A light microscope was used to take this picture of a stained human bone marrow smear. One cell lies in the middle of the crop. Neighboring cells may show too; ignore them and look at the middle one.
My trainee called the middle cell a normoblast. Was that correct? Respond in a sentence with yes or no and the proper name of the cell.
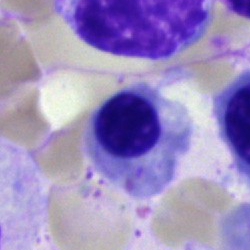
Yes, shown in the middle of the crop is a normoblast.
